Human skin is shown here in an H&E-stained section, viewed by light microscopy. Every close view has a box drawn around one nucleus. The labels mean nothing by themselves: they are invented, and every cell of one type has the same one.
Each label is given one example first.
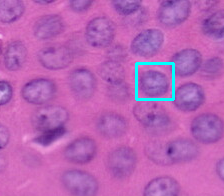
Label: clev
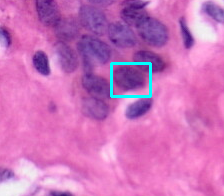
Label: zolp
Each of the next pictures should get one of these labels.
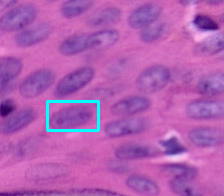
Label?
clev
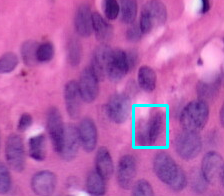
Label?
zolp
